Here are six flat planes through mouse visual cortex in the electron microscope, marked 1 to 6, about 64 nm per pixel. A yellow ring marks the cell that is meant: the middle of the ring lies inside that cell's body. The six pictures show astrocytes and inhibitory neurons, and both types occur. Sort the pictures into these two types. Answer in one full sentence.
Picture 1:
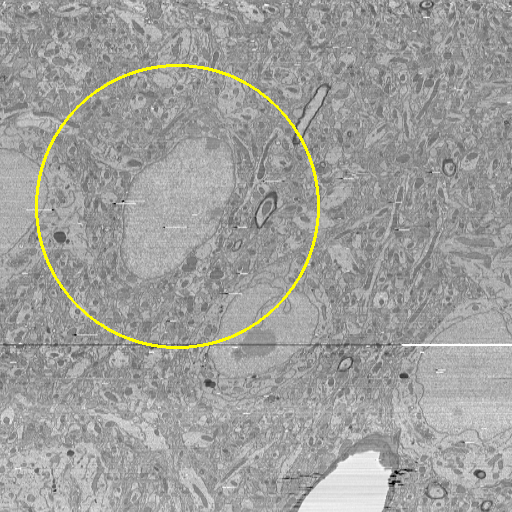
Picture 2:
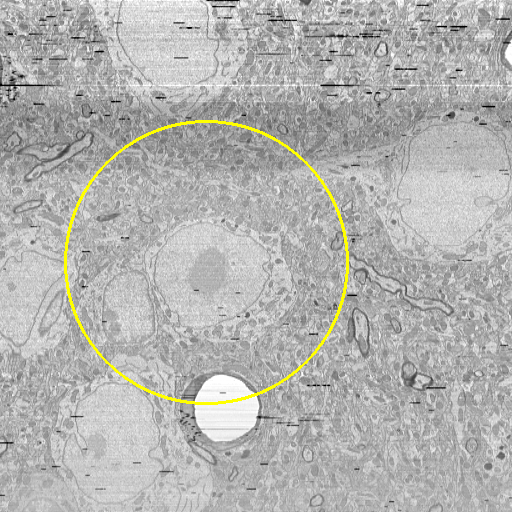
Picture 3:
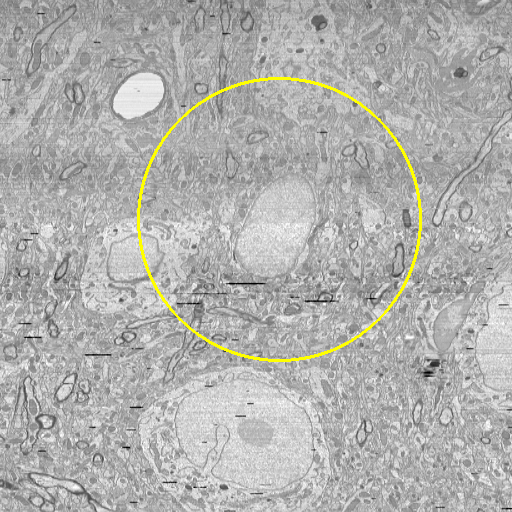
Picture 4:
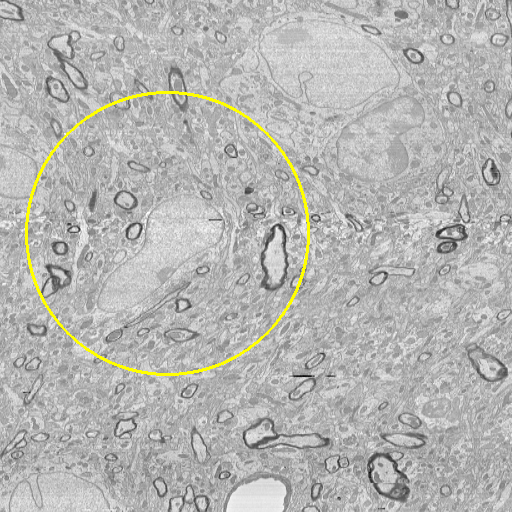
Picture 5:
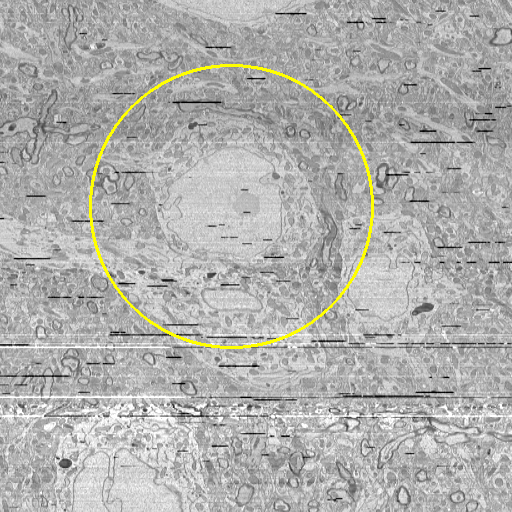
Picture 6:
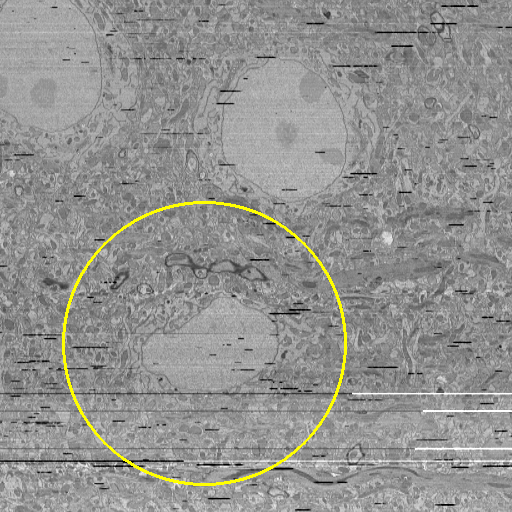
Pictures 1, 3 and 4 show astrocytes, while pictures 2, 5 and 6 show inhibitory neurons.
